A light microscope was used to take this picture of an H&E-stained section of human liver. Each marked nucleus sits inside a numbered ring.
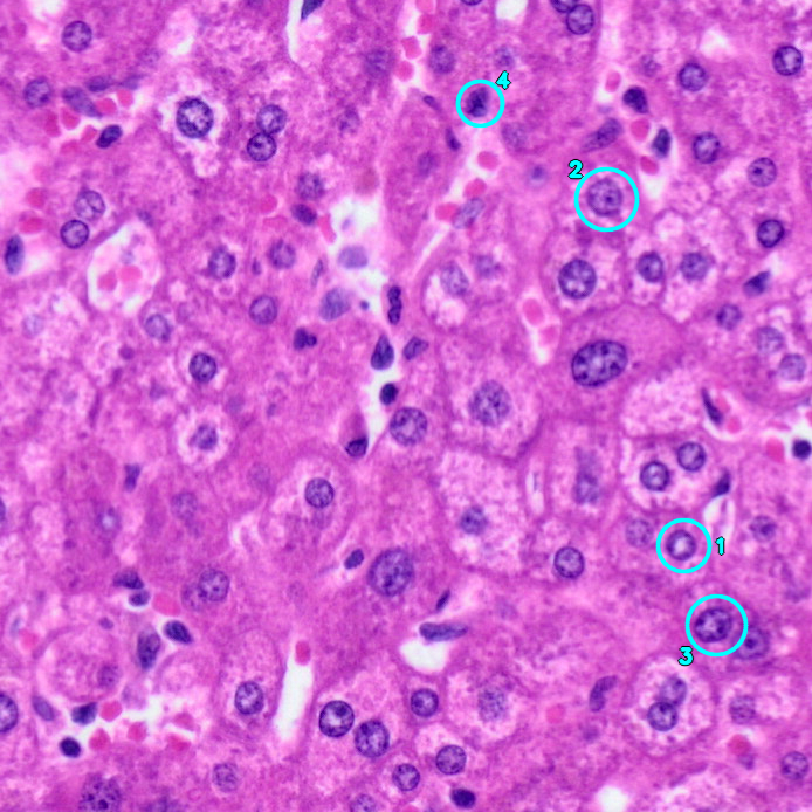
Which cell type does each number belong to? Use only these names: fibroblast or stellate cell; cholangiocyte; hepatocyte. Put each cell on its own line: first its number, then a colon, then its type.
1: hepatocyte
2: hepatocyte
3: hepatocyte
4: fibroblast or stellate cell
